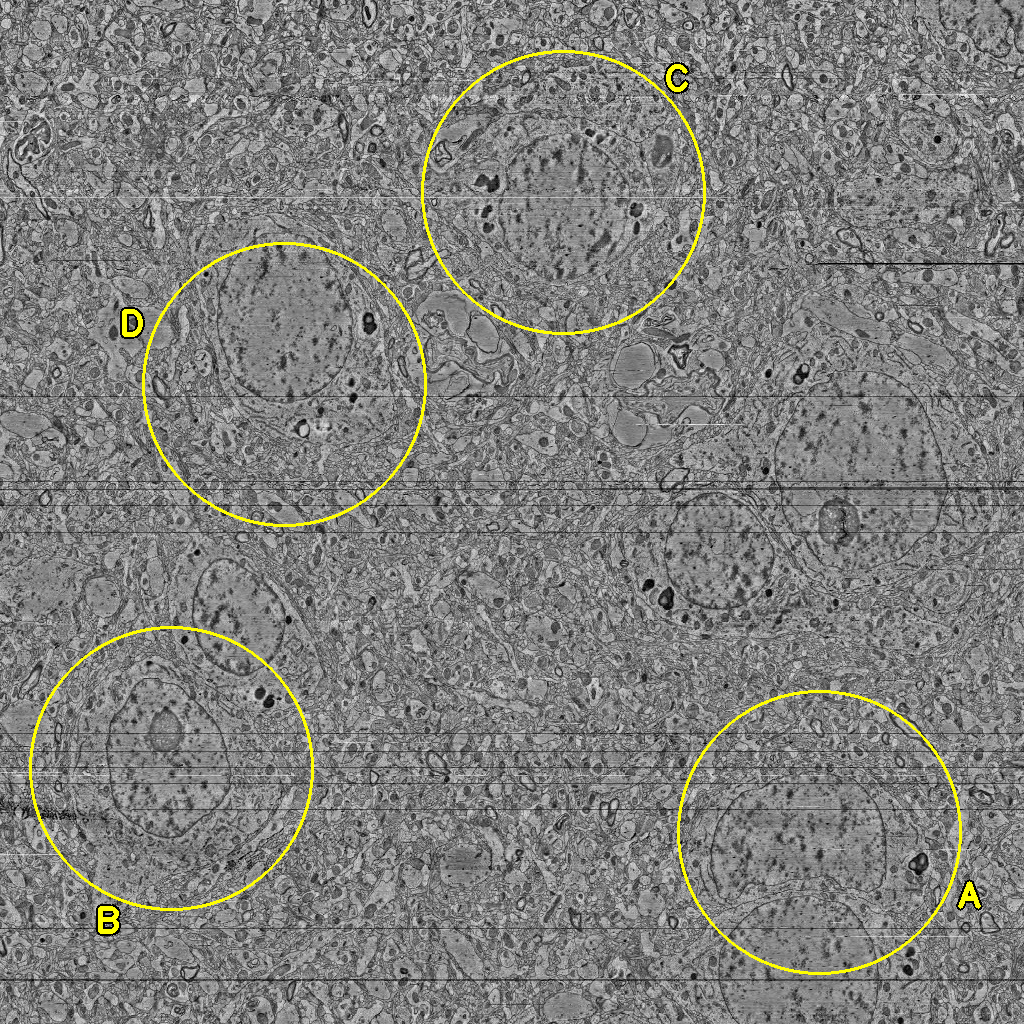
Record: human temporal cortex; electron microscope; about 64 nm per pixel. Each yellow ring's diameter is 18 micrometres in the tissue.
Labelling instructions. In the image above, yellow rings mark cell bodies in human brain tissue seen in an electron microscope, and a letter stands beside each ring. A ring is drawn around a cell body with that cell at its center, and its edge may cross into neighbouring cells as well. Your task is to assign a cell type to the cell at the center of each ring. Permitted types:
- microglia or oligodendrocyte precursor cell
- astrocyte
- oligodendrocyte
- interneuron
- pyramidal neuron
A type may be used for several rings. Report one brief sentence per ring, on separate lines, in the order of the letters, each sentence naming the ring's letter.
The cell at the center of ring A is a pyramidal neuron.
The cell at the center of ring B is a pyramidal neuron.
The cell at the center of ring C is an interneuron.
The cell at the center of ring D is a pyramidal neuron.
